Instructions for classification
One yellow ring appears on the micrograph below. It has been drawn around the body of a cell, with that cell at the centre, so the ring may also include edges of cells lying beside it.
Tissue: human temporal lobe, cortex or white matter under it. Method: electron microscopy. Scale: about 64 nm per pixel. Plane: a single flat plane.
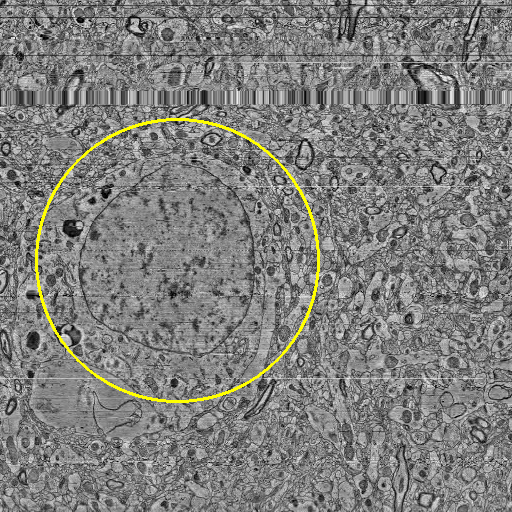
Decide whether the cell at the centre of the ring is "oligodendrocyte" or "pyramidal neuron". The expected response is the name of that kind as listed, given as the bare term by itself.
pyramidal neuron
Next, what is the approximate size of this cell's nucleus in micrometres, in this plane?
In this plane the nucleus is about 12 micrometres across.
